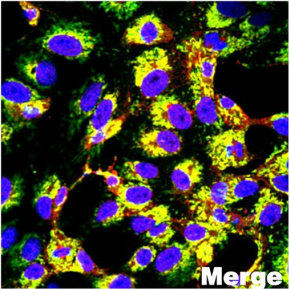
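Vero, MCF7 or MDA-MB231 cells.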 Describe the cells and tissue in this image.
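These are cultured cells packed side by side, each with a large oval blue nucleus in the middle. Around every nucleus the cytoplasm is filled with a fine network of label, densest close to the nucleus and thinning toward the cell margins. Where the red and green labels fall together the network looks yellow, and this yellow takes up much of the cytoplasm near the nuclei, while some purely green or red threads run out toward the edges. The dark gaps between the cells show that they are not fully confluent, and some thin projections reach across to neighbours.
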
